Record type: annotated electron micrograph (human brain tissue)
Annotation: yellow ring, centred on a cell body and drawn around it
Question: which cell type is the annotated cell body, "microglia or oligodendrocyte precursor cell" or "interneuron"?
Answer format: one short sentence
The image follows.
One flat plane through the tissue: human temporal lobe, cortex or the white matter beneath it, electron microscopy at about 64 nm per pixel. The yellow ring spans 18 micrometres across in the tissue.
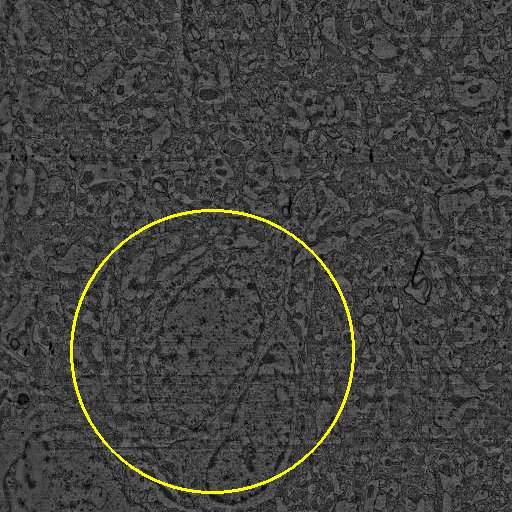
The annotated cell body is that of an interneuron.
